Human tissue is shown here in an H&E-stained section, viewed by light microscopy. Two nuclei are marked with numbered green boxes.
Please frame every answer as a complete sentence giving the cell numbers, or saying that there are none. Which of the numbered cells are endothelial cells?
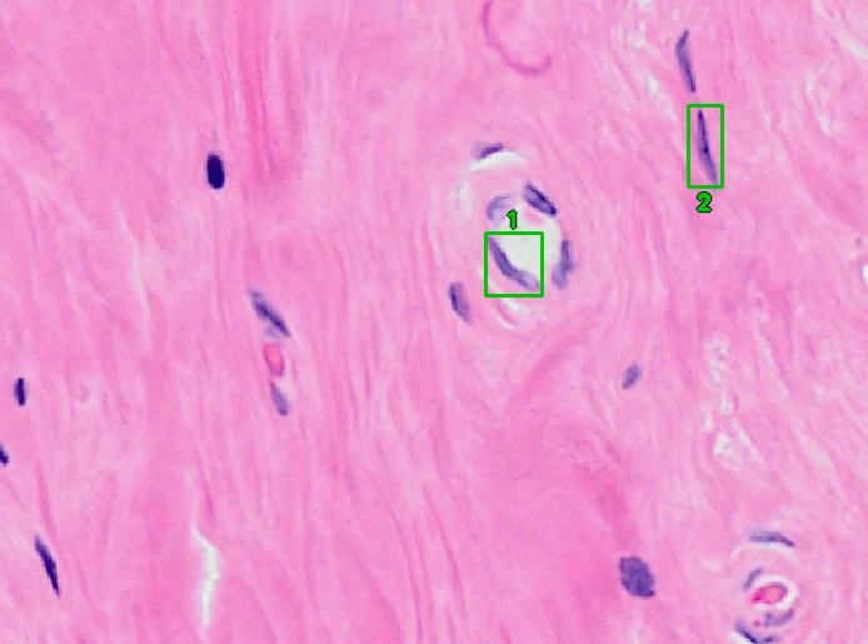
The cell labelled 1 is an endothelial cell, while the remaining numbered cells are not.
